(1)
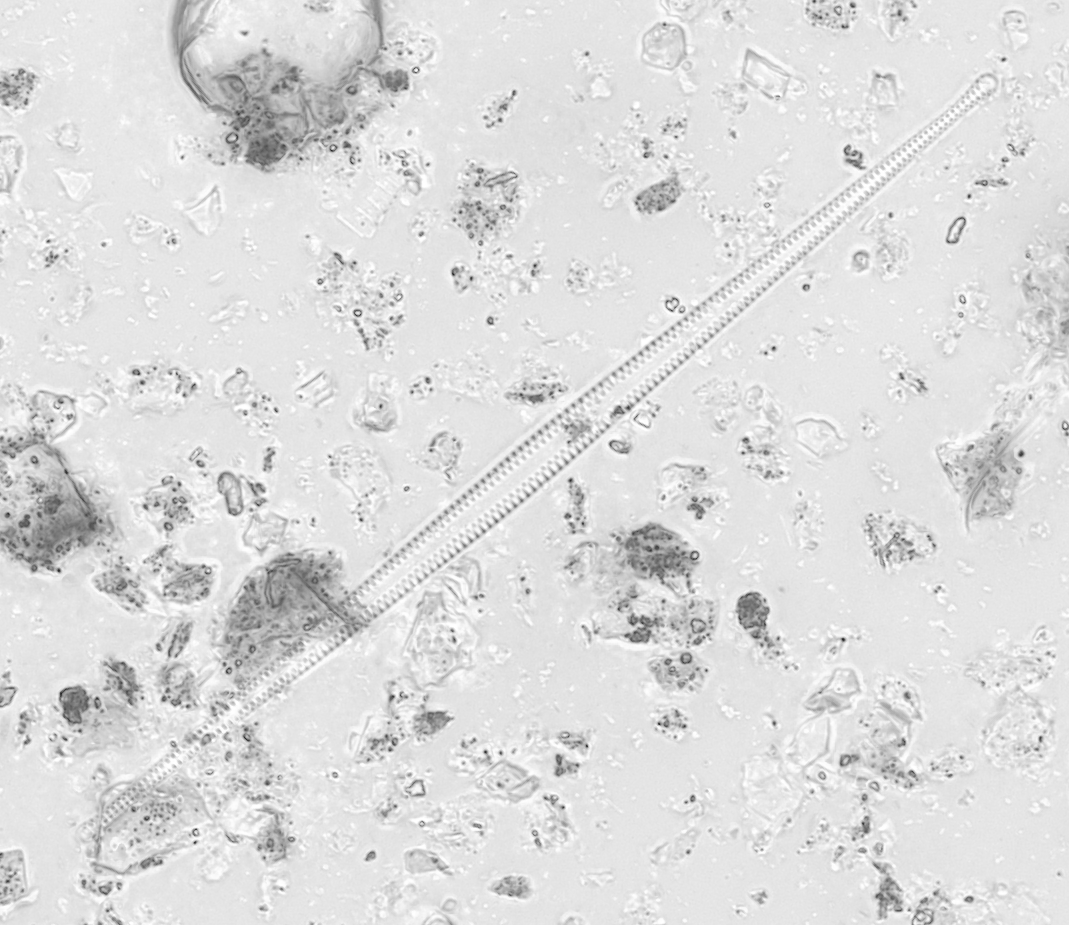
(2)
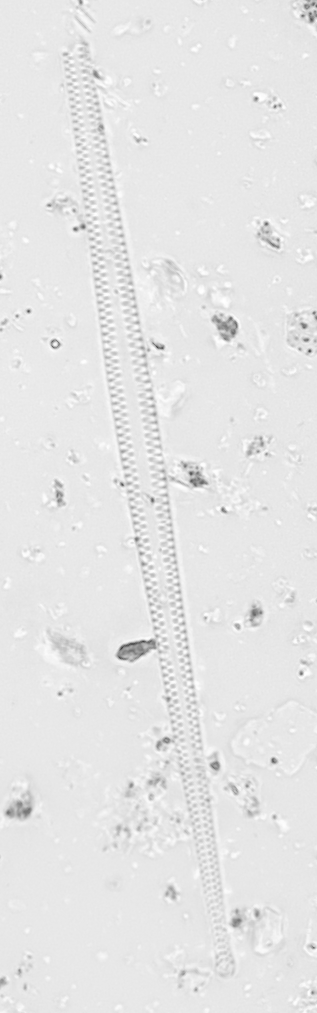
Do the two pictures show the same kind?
Yes, both are Tabularia.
